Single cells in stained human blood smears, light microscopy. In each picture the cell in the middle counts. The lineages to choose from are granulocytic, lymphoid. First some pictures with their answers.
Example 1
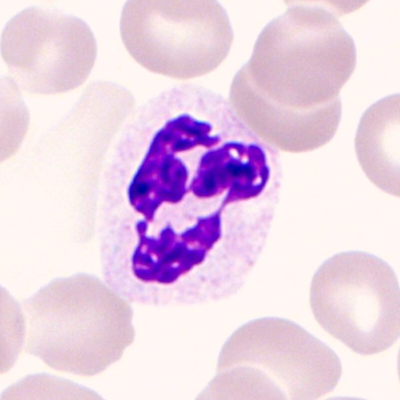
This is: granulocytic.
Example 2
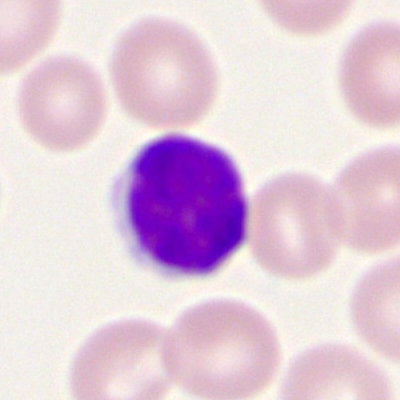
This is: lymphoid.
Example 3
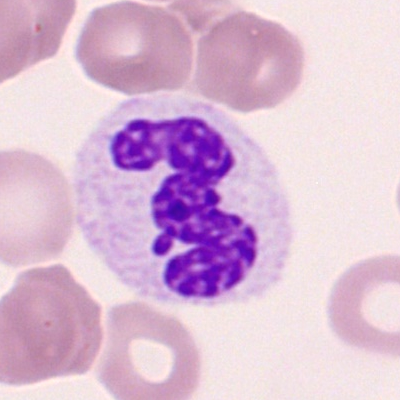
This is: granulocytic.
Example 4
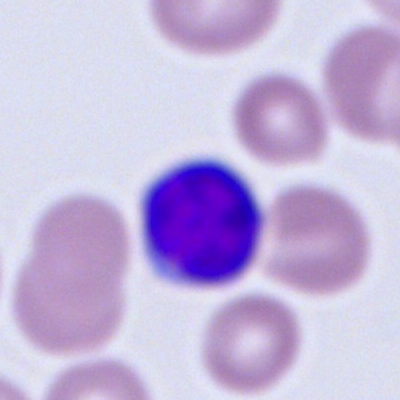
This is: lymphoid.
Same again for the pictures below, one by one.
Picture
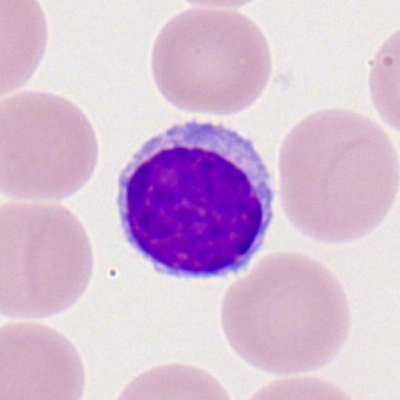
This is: lymphoid.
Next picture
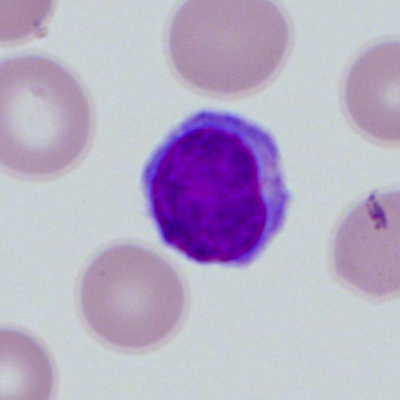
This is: lymphoid.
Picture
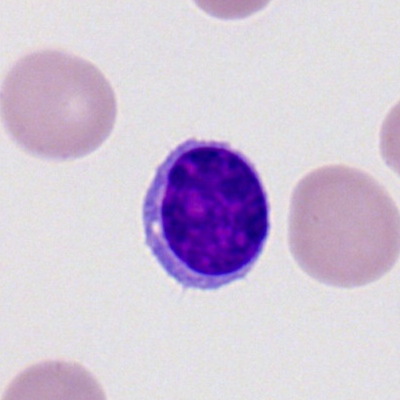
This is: lymphoid.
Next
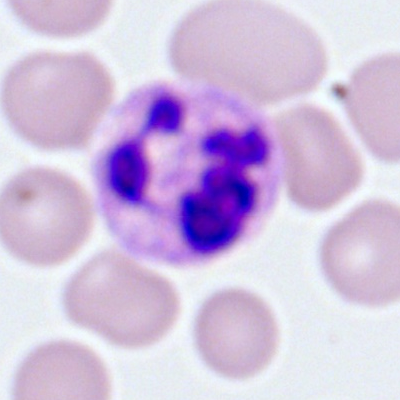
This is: granulocytic.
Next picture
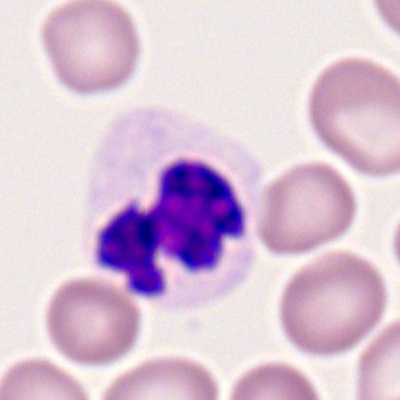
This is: granulocytic.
